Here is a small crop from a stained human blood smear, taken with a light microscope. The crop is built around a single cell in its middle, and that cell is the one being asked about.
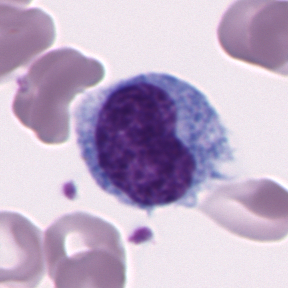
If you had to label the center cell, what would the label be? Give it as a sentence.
The identification for the central cell is a monocyte.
